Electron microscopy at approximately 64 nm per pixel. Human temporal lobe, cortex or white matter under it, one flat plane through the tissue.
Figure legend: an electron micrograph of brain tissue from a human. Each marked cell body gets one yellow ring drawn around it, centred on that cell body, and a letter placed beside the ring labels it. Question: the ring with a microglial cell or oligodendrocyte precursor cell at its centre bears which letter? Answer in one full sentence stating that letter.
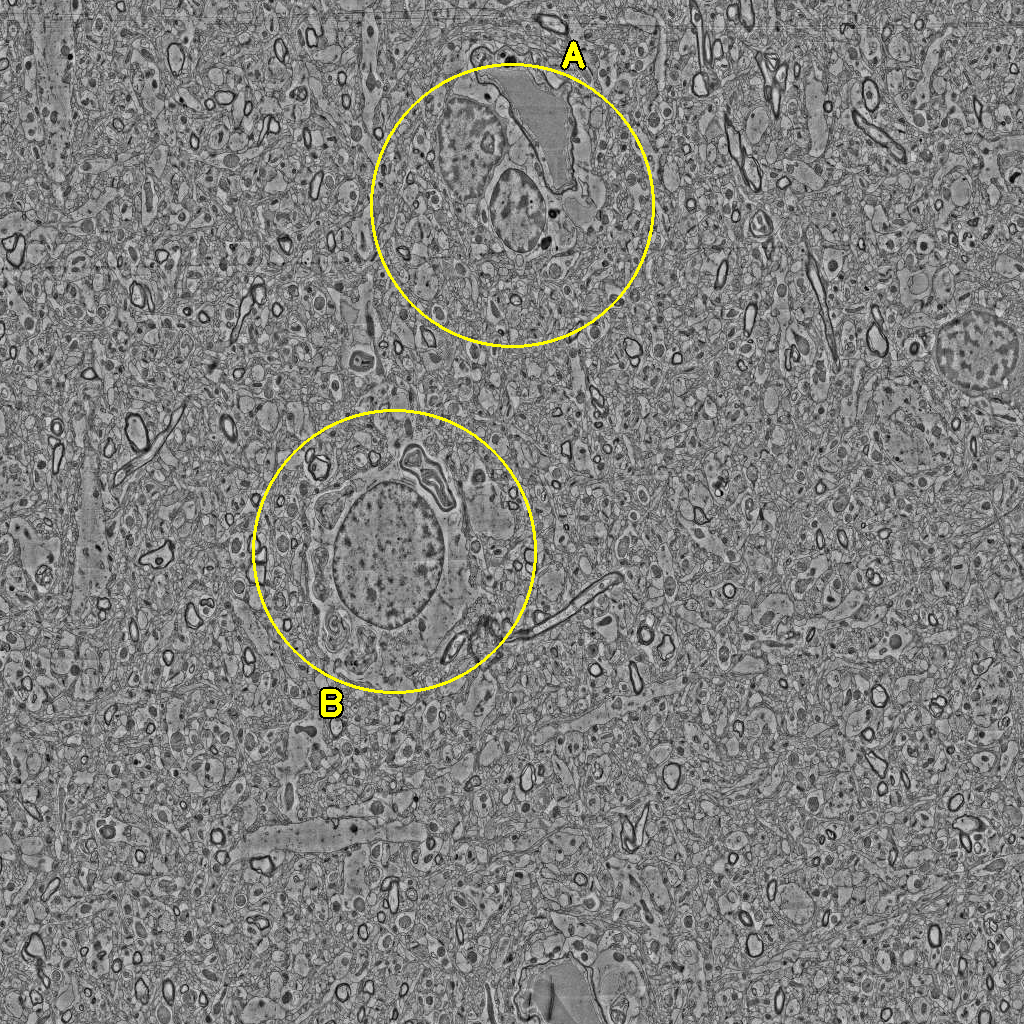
Labelled A is the ring whose centre holds the cell asked for in this picture.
